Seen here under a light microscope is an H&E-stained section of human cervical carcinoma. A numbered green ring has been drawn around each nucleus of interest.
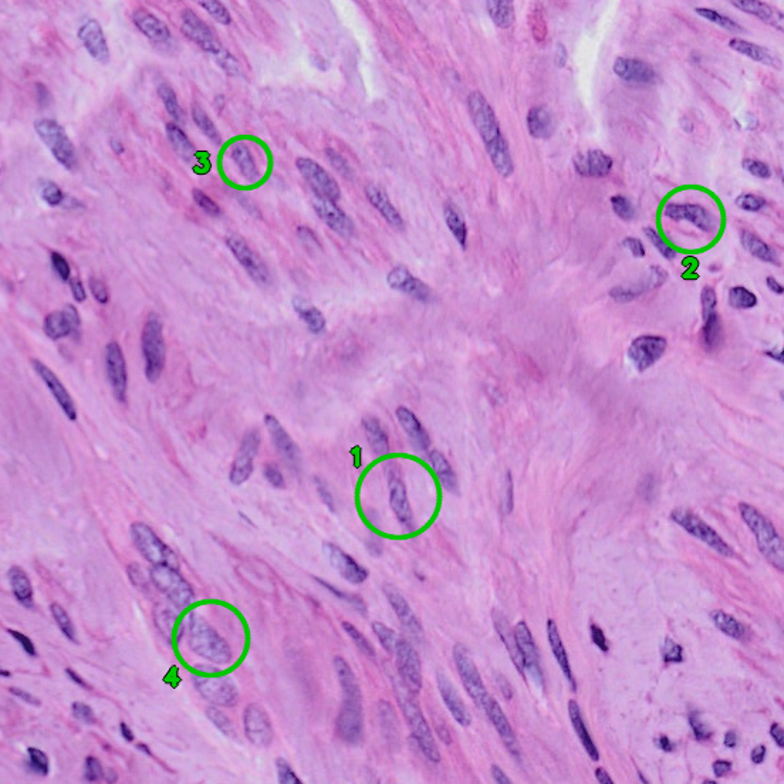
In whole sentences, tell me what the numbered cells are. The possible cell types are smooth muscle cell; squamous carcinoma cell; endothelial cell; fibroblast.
Cell 1 is a smooth muscle cell, cell 2 is a smooth muscle cell, cell 3 is a smooth muscle cell and cell 4 is an endothelial cell.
